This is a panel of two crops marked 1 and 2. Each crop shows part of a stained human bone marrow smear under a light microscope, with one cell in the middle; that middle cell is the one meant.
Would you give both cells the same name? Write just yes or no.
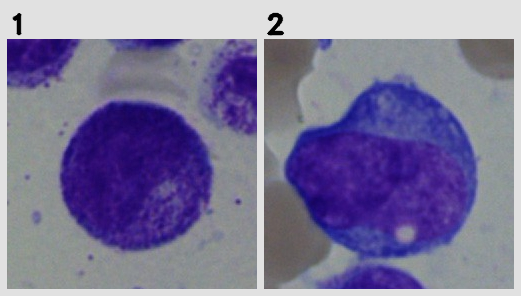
no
